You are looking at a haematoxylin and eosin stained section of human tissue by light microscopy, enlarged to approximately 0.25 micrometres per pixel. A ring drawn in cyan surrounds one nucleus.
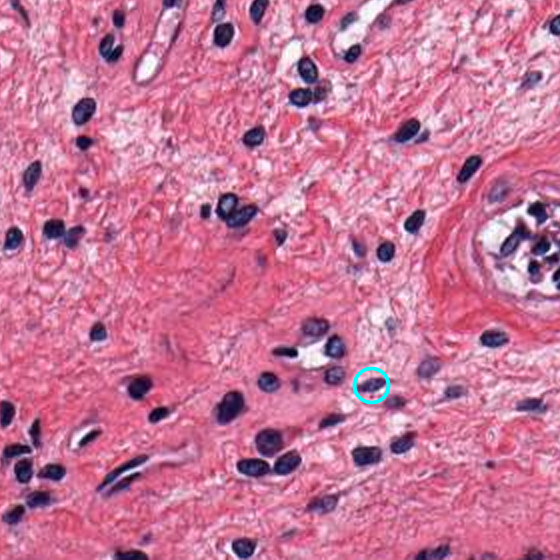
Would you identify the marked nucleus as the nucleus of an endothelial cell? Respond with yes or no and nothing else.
no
